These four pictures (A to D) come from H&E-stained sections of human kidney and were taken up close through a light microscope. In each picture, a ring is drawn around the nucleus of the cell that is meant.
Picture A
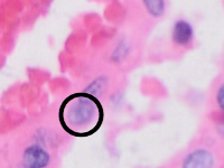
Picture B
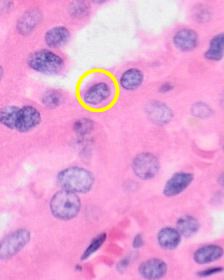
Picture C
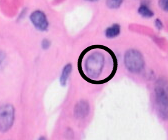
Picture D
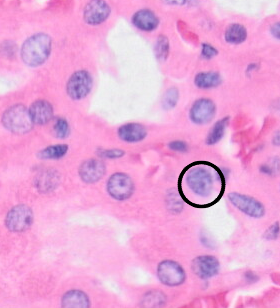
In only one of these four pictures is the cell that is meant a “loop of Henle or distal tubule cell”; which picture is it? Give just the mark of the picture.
B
